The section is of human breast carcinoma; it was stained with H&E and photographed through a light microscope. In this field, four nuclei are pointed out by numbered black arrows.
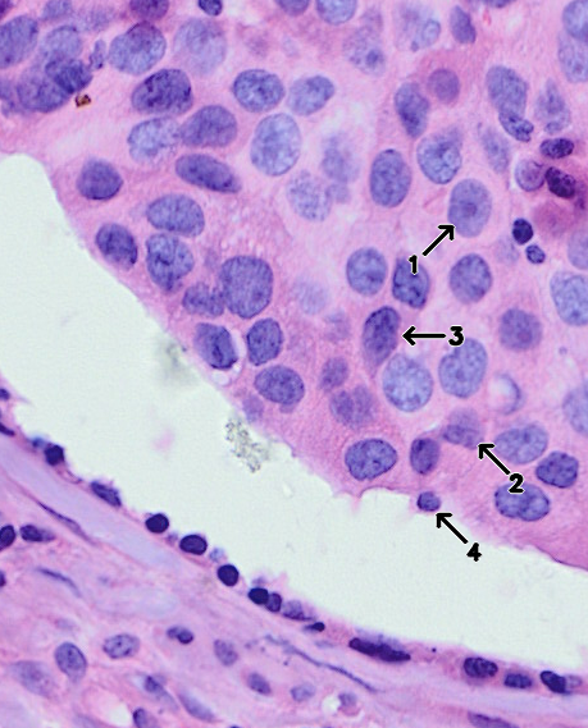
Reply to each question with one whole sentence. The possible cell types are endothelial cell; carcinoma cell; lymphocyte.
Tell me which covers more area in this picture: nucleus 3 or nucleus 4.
Nucleus 3 is larger, with an area about 4 times that of nucleus 4.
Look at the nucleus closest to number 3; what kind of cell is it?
It is a carcinoma cell whose nucleus is nearest to number 3.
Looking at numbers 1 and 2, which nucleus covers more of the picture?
Nucleus 1 is the larger one, covering about 2 times the area of nucleus 2.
